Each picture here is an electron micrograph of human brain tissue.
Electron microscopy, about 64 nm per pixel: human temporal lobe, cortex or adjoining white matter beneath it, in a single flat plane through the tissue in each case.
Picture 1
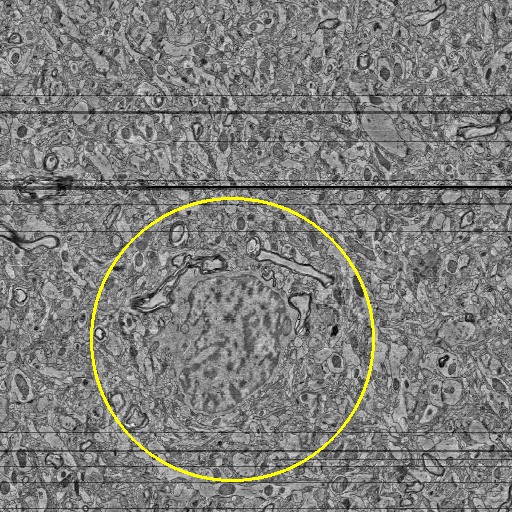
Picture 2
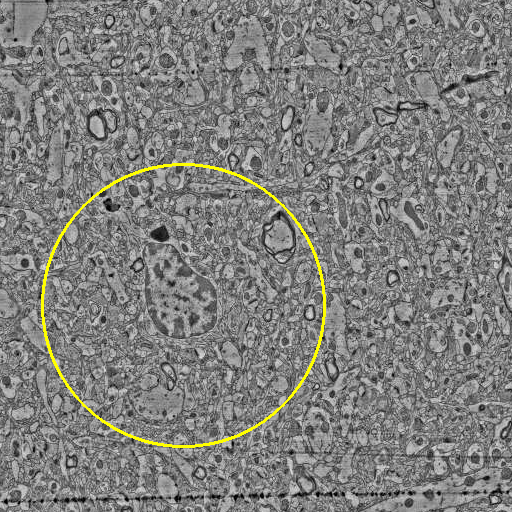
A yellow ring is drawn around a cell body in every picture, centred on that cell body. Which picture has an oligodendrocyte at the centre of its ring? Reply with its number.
1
